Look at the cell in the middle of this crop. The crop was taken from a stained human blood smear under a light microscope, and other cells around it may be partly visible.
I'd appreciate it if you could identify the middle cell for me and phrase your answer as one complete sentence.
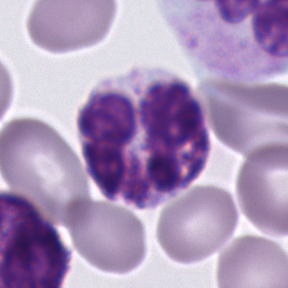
Classified as a basophil is the cell in the middle of this crop.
